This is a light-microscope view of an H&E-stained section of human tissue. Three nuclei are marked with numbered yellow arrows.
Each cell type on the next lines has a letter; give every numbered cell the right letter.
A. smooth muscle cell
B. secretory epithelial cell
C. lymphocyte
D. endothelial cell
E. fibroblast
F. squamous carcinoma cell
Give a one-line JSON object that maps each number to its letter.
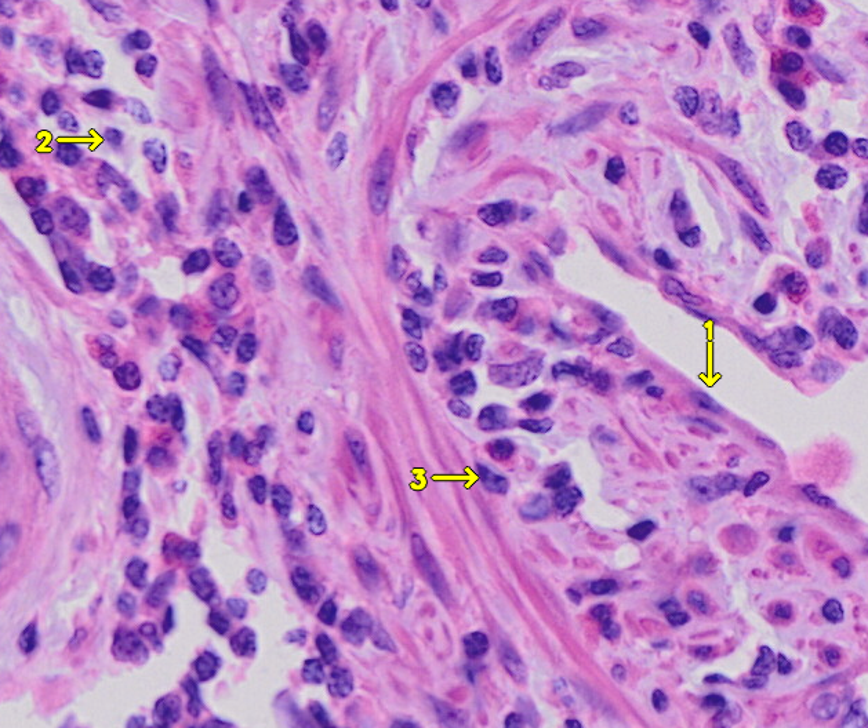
{"1": "D", "2": "C", "3": "C"}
